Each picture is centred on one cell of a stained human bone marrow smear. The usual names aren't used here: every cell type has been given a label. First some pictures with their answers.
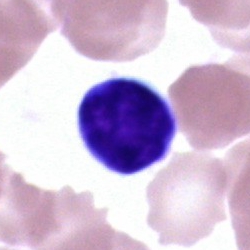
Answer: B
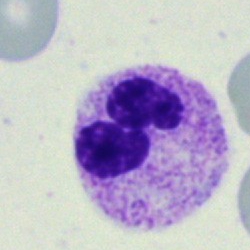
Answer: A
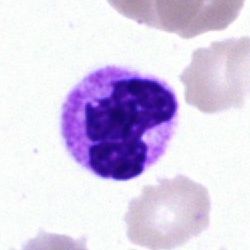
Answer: A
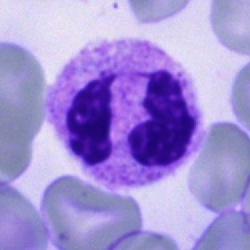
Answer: A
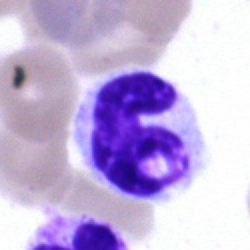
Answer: A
